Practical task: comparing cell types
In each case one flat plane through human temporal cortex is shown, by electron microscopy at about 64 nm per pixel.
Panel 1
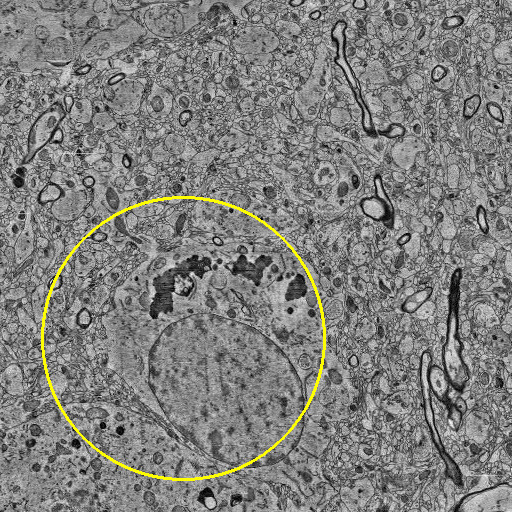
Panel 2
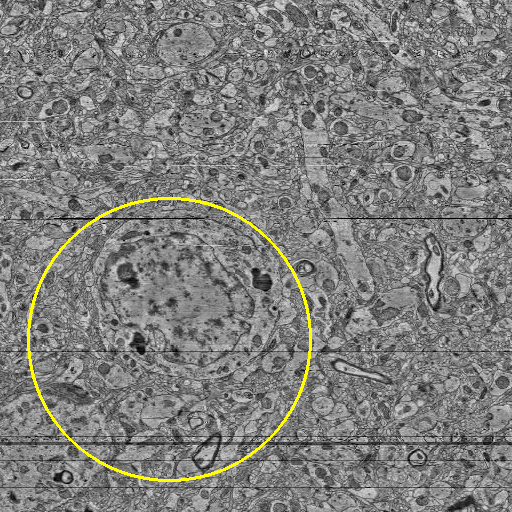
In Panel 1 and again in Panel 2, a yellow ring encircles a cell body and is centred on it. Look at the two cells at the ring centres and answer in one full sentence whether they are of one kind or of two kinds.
The two cells sitting at the ring centres of Panels 1 and 2 are of two kinds.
